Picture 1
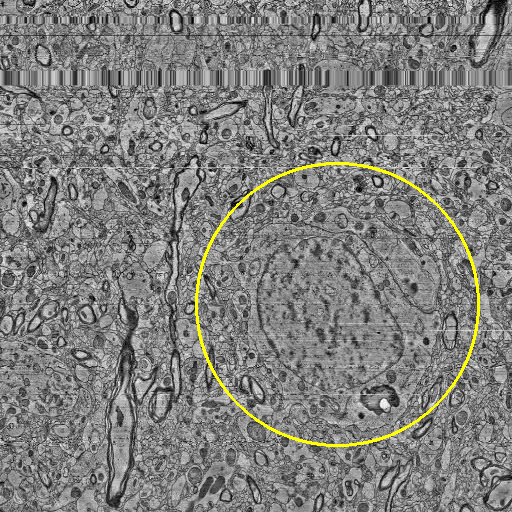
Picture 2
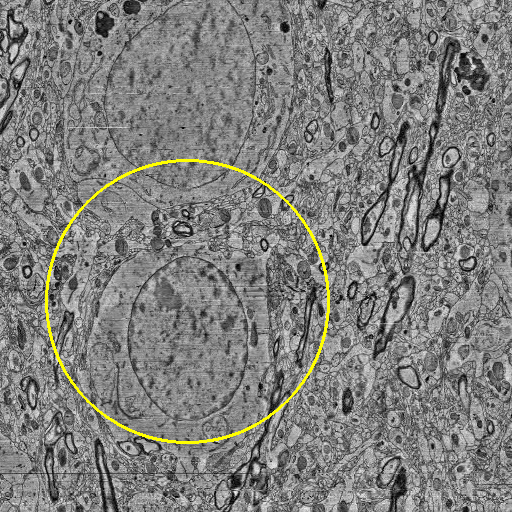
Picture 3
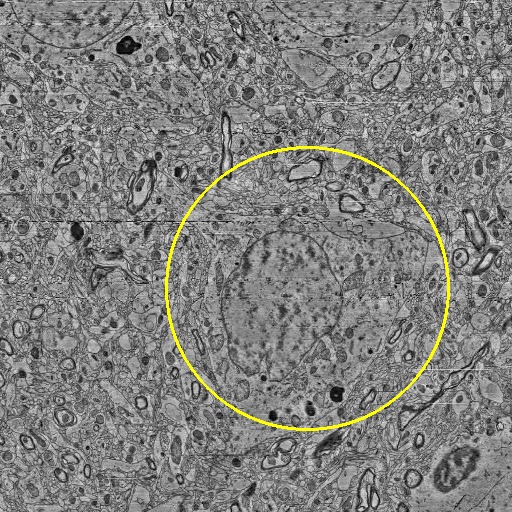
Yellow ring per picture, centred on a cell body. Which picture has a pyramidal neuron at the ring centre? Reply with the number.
3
